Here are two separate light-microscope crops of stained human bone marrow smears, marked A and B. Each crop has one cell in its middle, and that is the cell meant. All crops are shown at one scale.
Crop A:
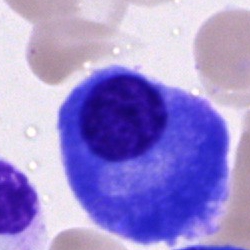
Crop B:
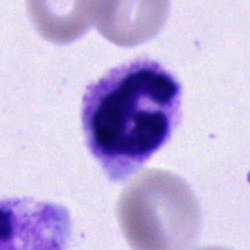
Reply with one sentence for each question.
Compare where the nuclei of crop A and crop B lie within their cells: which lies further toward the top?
In crop A the nucleus is shifted more toward the top.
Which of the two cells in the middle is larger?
Larger is the cell in crop A, at roughly 2.5 times the area of the other.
